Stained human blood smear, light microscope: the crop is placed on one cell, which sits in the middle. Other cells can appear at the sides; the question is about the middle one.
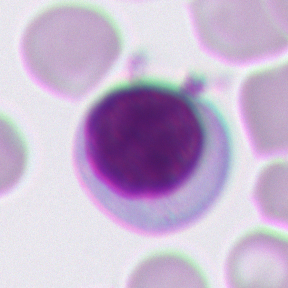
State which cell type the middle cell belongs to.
typical lymphocyte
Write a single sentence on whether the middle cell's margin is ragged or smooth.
Its outline is smooth, with no projections anywhere along the edge.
